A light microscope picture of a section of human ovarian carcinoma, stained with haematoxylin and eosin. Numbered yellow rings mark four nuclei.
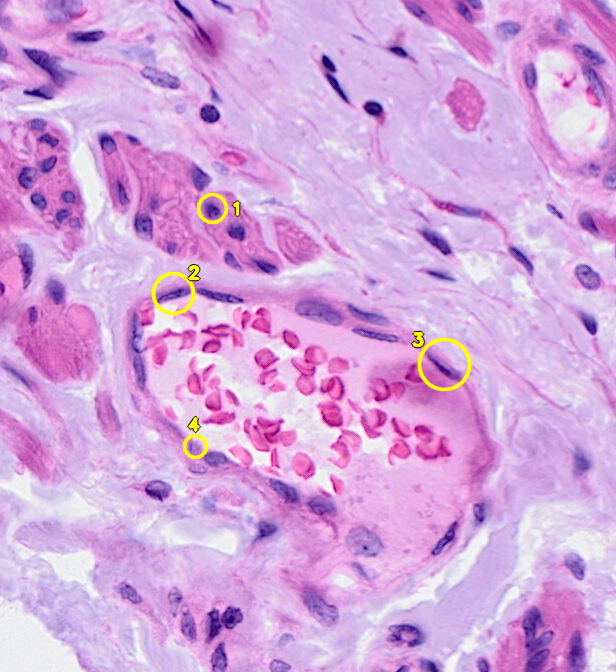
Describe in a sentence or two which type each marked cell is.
Cell 1 is a smooth muscle cell. Cells 2, 3 and 4 are endothelial cells.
